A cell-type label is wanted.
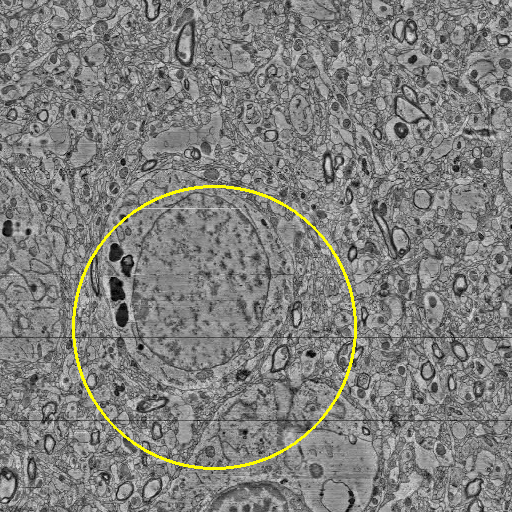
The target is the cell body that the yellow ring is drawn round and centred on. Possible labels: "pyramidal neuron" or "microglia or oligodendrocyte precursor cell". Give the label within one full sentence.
Of the labels offered, the cell in the middle of the yellow ring is a pyramidal neuron.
